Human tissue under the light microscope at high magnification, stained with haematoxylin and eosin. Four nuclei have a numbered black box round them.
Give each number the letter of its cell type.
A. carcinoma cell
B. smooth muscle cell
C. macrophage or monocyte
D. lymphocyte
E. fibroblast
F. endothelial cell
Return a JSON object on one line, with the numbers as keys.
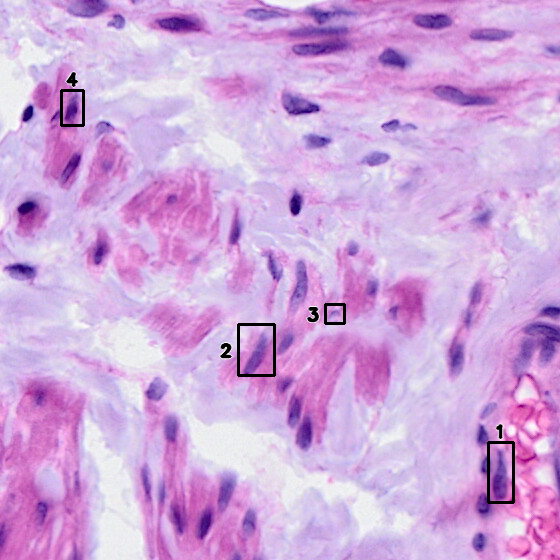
{"1": "F", "2": "B", "3": "B", "4": "B"}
